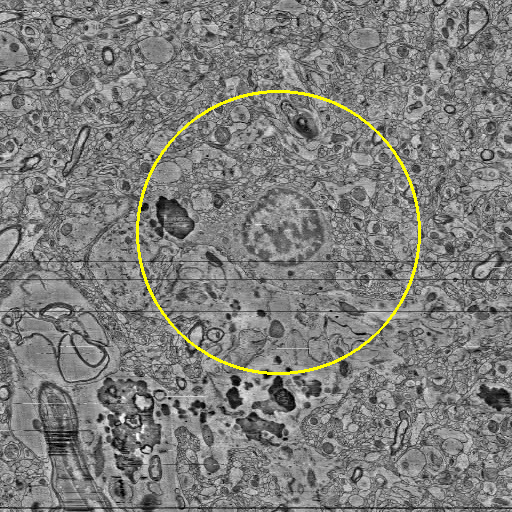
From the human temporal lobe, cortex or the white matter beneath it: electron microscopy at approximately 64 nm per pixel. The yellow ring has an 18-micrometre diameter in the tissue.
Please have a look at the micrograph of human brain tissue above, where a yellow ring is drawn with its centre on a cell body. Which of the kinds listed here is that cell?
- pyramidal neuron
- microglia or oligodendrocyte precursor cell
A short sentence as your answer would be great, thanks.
At the centre of the ring sits a microglial cell or oligodendrocyte precursor cell.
